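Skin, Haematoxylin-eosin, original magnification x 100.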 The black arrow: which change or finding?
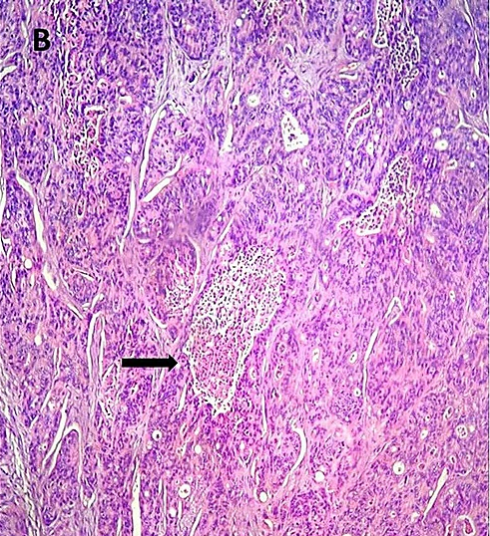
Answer: Dirty necrotic debris material with karyorrhectic nuclei.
